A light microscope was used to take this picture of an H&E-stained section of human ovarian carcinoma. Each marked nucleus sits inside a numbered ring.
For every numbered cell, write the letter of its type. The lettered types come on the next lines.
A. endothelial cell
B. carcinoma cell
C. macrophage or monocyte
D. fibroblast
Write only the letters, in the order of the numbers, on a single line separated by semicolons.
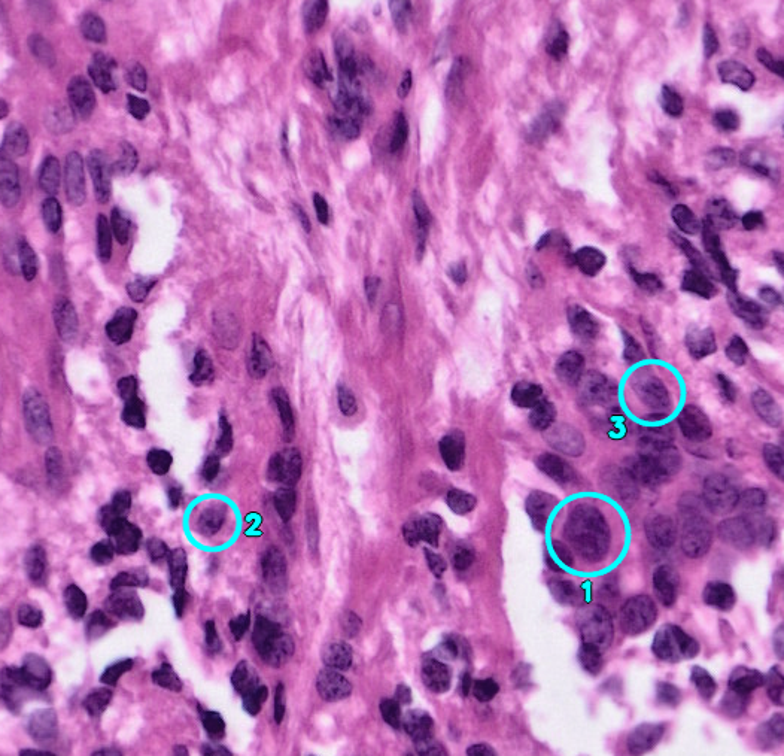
B; C; B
